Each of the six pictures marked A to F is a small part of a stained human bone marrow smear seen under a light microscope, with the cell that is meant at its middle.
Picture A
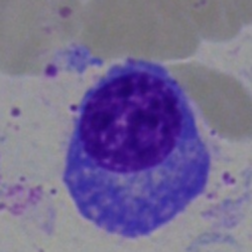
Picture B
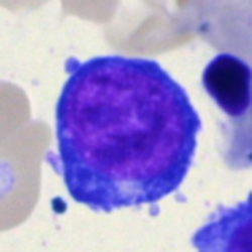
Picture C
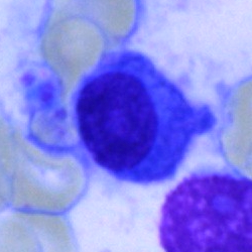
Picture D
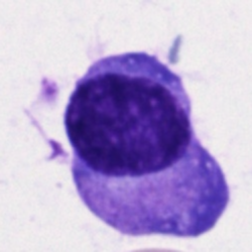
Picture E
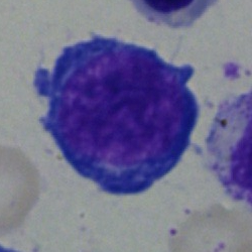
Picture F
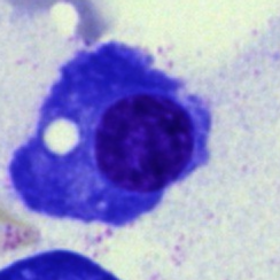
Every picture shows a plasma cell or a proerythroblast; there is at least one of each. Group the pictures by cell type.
A: plasma cell
B: proerythroblast
C: plasma cell
D: plasma cell
E: proerythroblast
F: plasma cell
